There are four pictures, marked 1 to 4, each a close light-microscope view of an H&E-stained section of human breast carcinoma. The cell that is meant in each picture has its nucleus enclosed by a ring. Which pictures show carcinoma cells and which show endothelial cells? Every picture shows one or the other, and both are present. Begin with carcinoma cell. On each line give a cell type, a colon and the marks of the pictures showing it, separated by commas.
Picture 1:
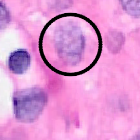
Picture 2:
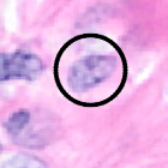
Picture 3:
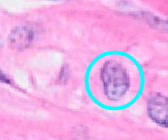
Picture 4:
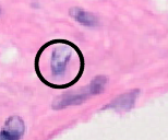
carcinoma cell: 1, 2, 3
endothelial cell: 4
